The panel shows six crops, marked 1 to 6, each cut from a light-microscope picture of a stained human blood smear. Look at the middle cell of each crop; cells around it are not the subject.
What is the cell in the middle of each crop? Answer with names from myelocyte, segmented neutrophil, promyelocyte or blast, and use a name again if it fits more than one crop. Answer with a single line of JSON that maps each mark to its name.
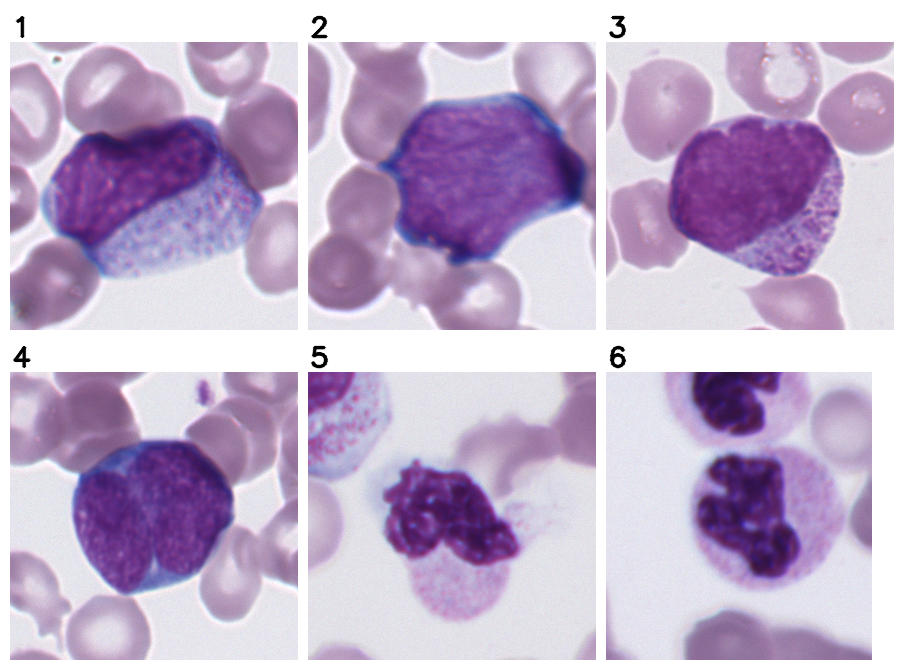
{"1": "promyelocyte", "2": "blast", "3": "promyelocyte", "4": "blast", "5": "segmented neutrophil", "6": "segmented neutrophil"}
